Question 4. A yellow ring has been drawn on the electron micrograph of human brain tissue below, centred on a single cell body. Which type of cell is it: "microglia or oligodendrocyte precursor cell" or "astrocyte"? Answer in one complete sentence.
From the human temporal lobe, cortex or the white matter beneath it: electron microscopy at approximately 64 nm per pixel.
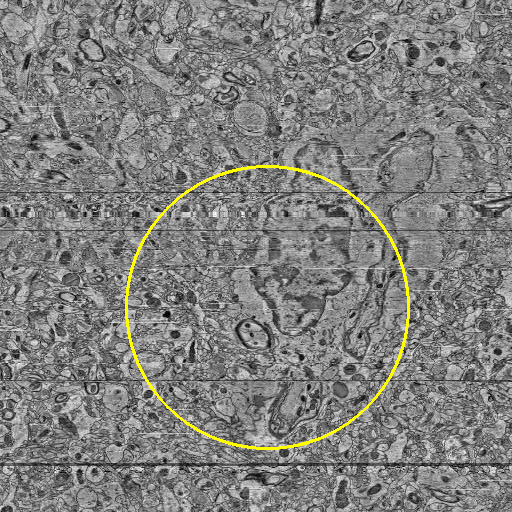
This cell body belongs to a microglial cell or oligodendrocyte precursor cell.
